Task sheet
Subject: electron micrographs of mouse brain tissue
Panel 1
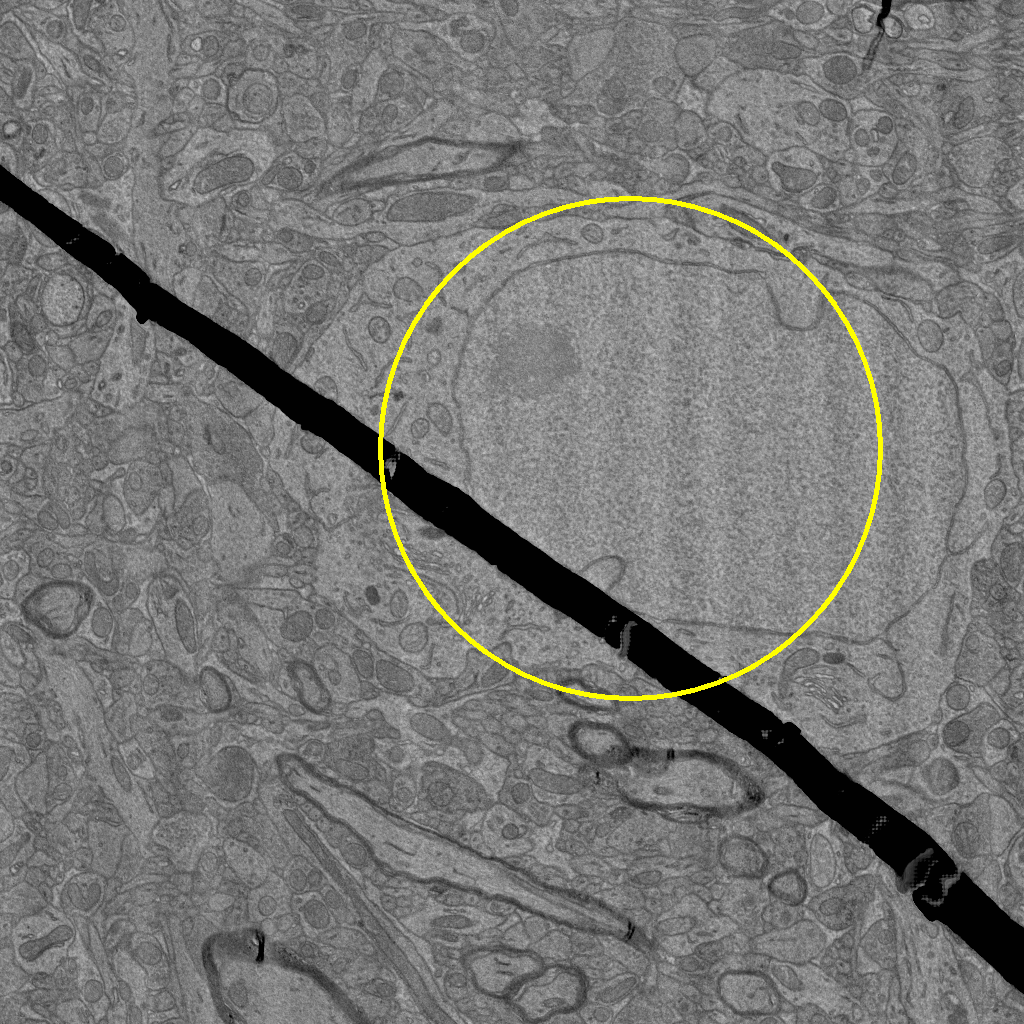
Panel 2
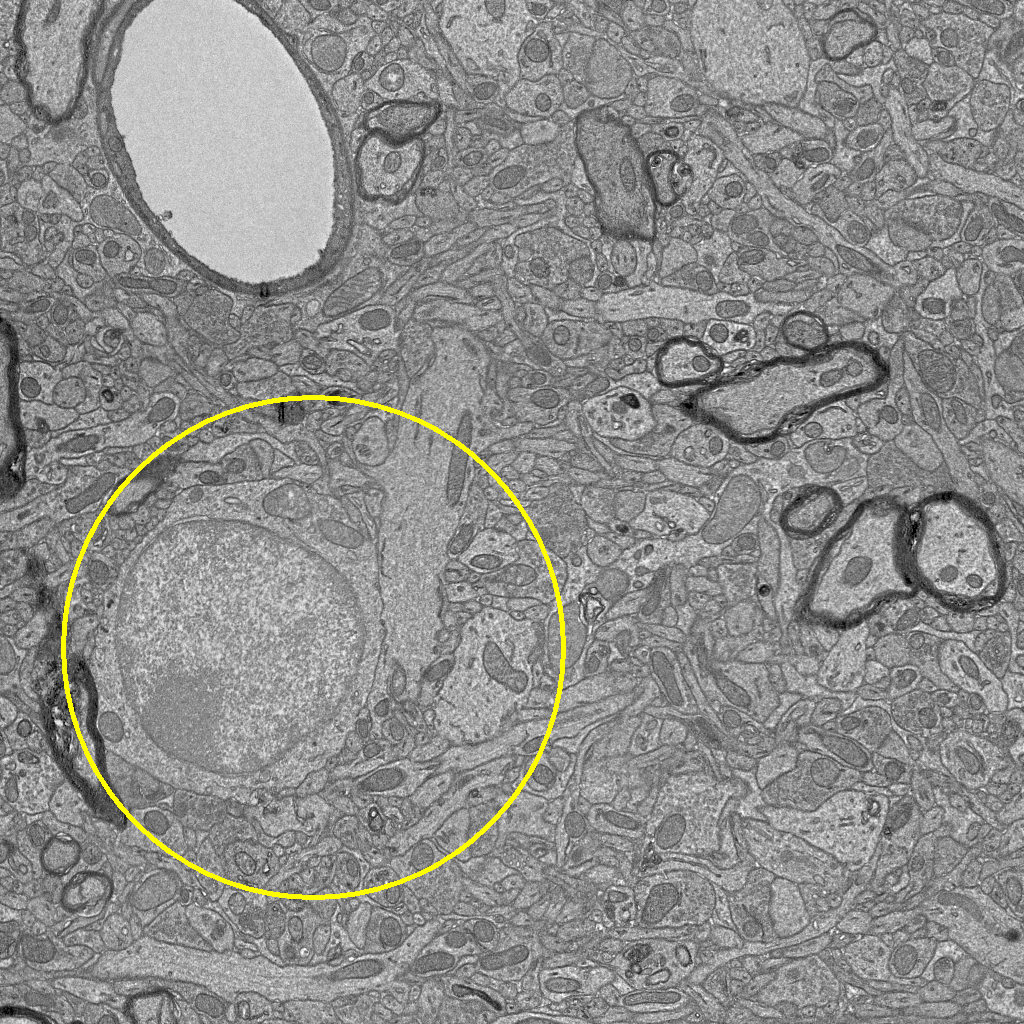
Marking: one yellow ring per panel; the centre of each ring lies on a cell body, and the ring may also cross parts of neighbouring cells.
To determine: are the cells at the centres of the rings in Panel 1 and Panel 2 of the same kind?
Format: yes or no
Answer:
no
